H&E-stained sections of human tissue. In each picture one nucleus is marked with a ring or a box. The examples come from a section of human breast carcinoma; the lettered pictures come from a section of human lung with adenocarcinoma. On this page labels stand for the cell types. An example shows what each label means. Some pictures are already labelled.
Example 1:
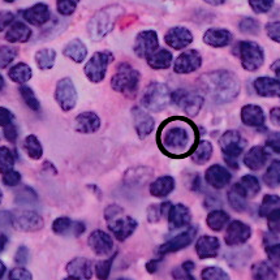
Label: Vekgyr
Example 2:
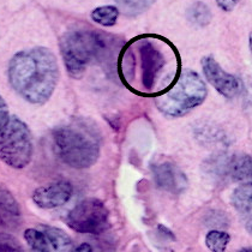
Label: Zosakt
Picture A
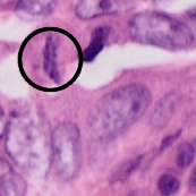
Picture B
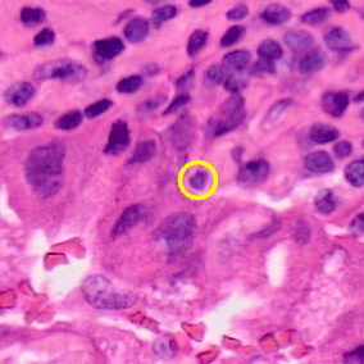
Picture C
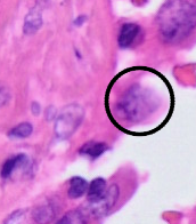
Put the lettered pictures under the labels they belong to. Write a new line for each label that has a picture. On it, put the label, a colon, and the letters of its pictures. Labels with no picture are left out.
Vekgyr: B
Zosakt: A, C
